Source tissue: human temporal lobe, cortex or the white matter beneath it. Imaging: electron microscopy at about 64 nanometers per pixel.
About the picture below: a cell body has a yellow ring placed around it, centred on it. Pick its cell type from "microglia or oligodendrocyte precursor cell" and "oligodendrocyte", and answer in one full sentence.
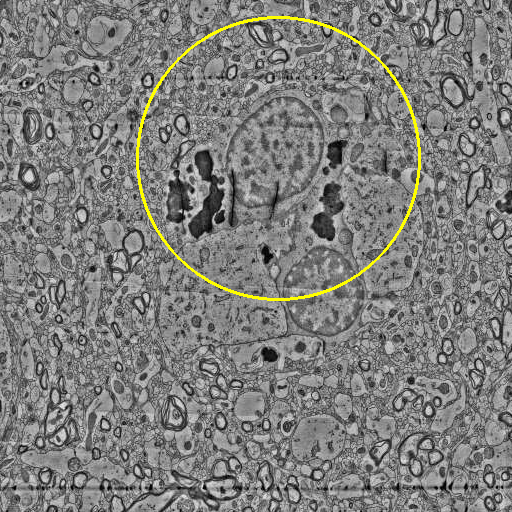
In the picture, an oligodendrocyte is the cell sitting at the centre of the yellow ring.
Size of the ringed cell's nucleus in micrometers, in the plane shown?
The nucleus has a long axis of about 8 micrometres and a short axis of about 6 micrometres in this plane.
